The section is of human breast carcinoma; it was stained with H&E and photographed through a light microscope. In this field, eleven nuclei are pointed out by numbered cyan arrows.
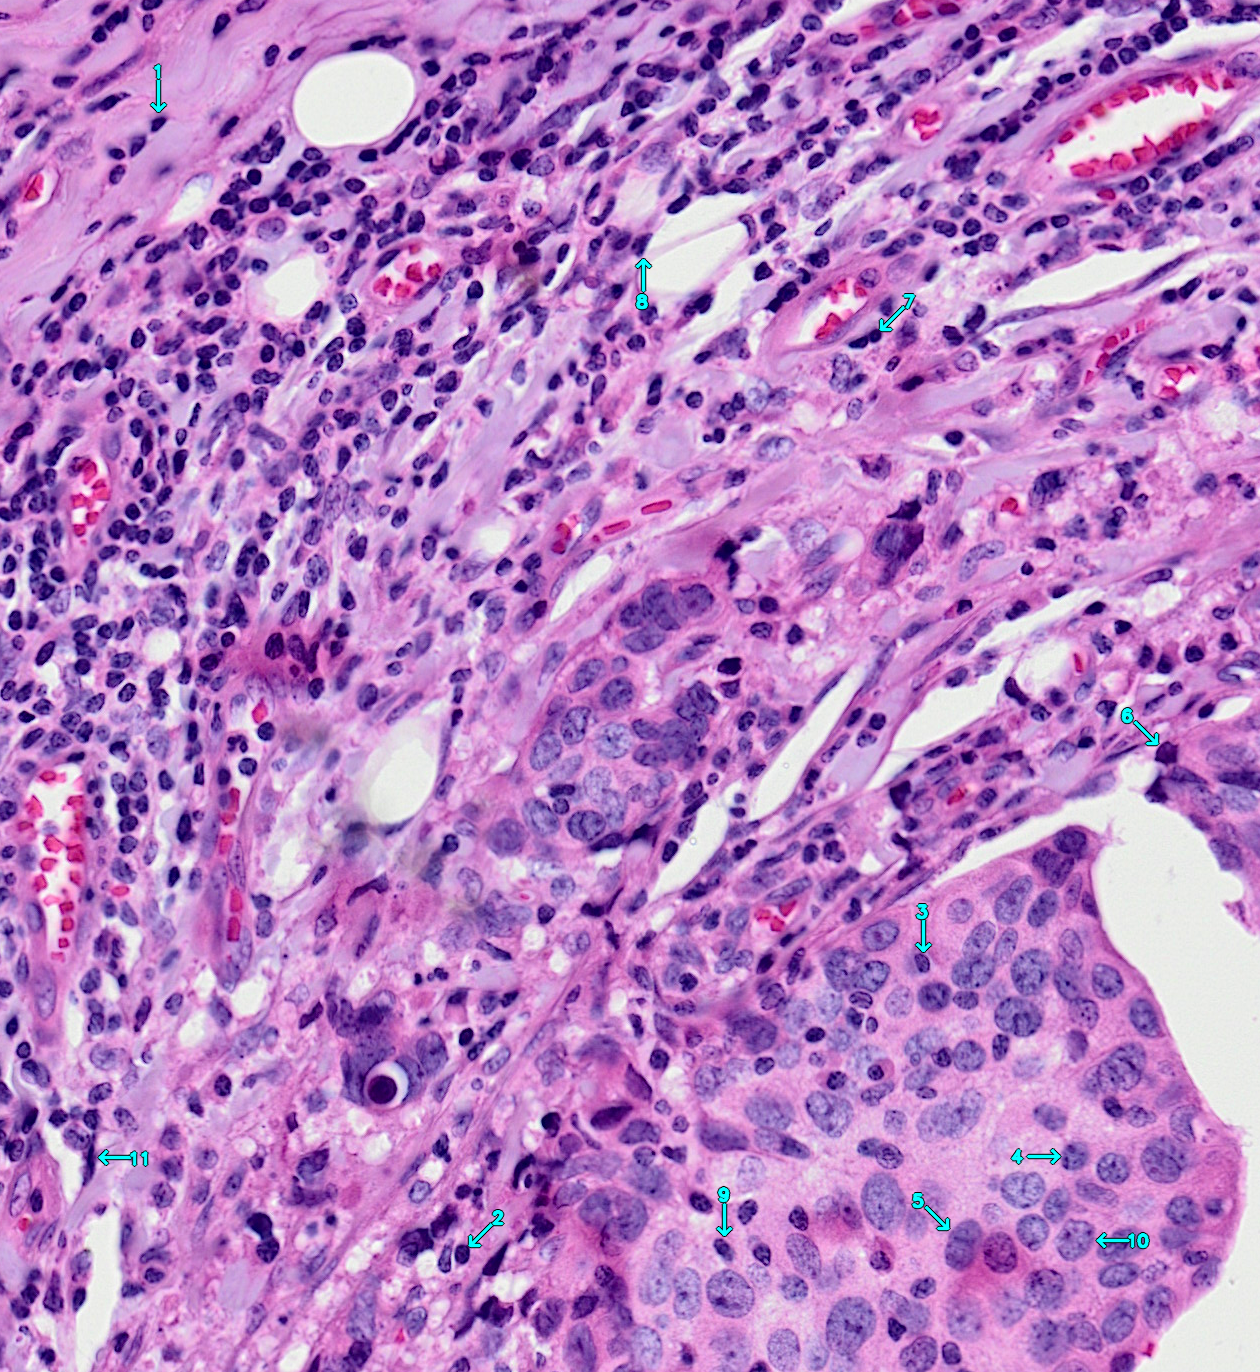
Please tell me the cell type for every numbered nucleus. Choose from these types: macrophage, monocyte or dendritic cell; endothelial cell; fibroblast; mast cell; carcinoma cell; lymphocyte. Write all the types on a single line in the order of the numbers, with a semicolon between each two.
lymphocyte; lymphocyte; carcinoma cell; carcinoma cell; carcinoma cell; carcinoma cell; lymphocyte; lymphocyte; lymphocyte; carcinoma cell; lymphocyte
